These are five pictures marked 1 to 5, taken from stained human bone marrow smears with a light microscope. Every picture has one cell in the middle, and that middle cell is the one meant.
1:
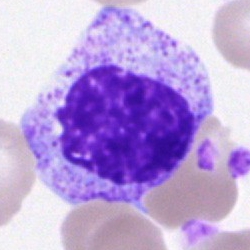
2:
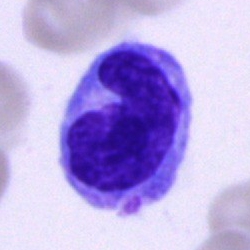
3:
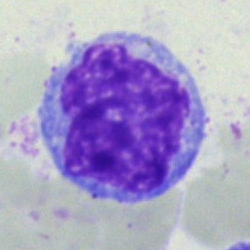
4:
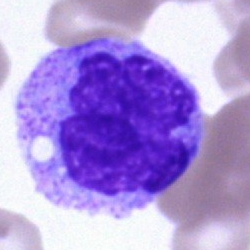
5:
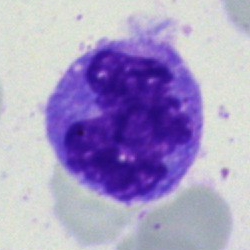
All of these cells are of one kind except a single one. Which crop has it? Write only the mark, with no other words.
1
